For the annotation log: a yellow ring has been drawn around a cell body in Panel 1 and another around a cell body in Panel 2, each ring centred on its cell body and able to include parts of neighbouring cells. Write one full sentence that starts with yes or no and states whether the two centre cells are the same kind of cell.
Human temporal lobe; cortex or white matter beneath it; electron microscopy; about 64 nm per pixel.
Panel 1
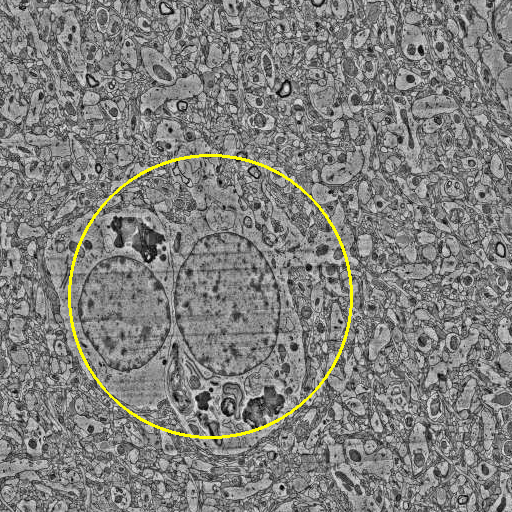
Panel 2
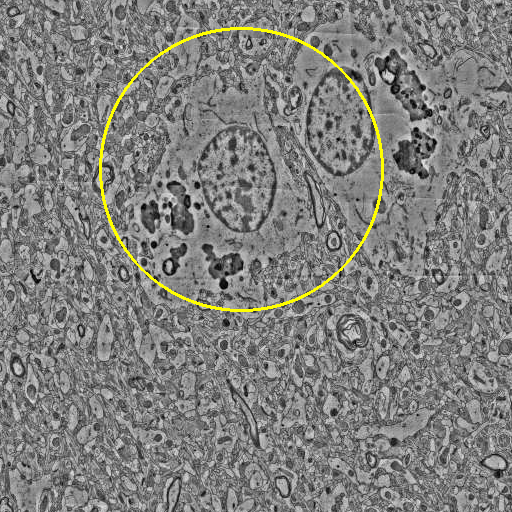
Yes, the two centre cells are the same kind of cell.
